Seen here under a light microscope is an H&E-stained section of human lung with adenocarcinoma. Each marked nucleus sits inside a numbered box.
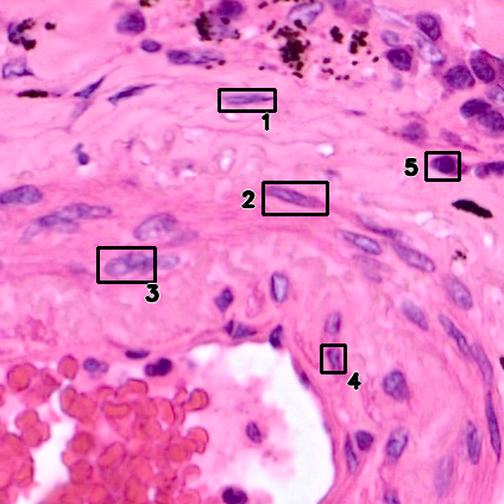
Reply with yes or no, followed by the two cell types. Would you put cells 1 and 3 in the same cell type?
No, in contrast to cell 3, which is a smooth muscle cell or pericyte, cell 1 is a fibroblast.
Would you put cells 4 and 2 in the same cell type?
Yes, the cells marked 4 and 2 are both smooth muscle cells or pericytes.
